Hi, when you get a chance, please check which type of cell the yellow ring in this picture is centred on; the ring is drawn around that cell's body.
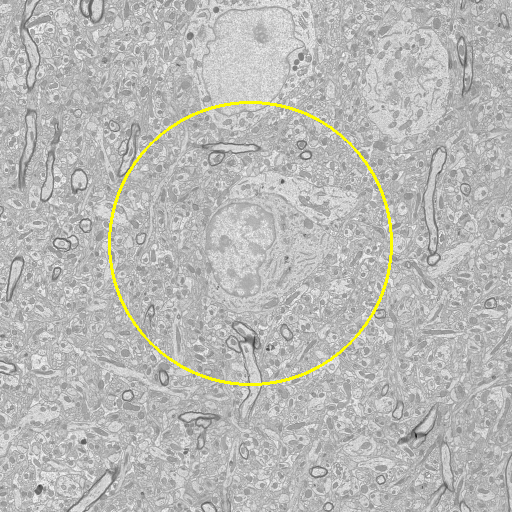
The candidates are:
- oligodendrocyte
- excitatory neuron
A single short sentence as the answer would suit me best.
The ring is drawn around the body of an oligodendrocyte.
